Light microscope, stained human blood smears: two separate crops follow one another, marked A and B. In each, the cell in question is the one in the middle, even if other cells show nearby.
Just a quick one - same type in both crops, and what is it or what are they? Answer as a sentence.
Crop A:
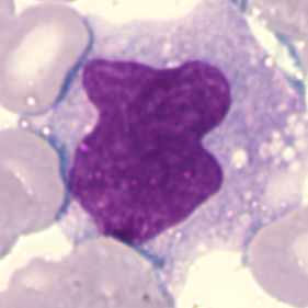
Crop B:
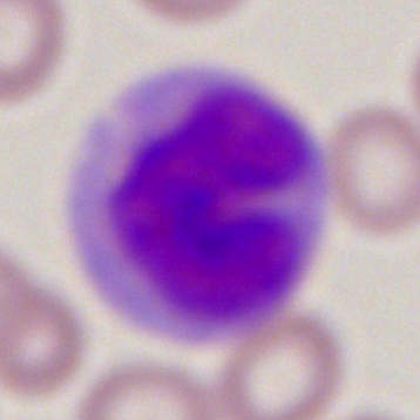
Yes, as shown in both crops, the central cells are monocytes.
